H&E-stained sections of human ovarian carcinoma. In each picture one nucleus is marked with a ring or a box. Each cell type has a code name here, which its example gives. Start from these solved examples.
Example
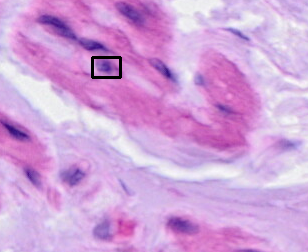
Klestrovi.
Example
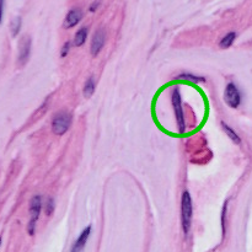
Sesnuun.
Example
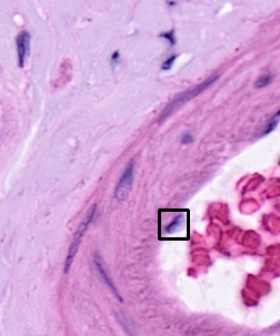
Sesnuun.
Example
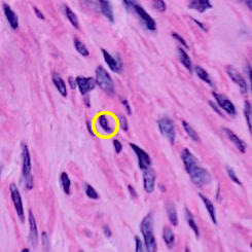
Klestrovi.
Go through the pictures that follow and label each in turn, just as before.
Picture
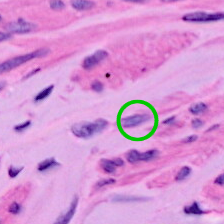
Klestrovi.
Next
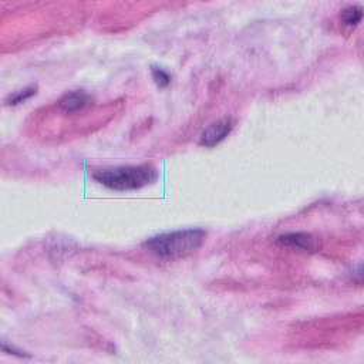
Sesnuun.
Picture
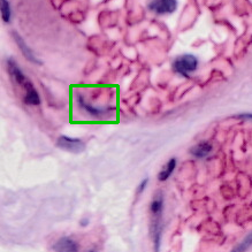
Sesnuun.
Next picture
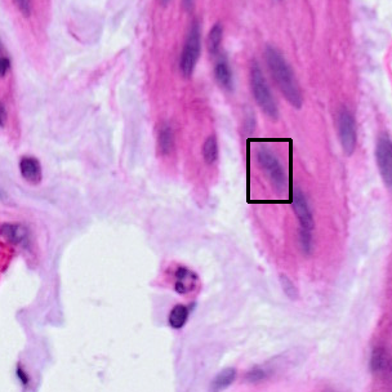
Klestrovi.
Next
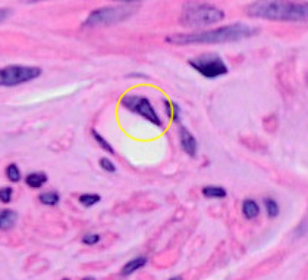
Sesnuun.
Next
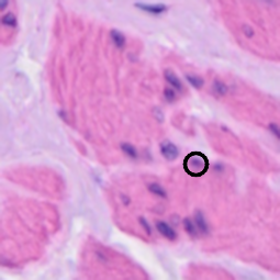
Klestrovi.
